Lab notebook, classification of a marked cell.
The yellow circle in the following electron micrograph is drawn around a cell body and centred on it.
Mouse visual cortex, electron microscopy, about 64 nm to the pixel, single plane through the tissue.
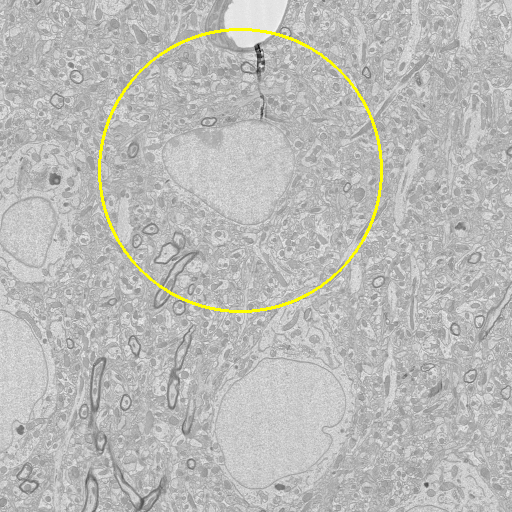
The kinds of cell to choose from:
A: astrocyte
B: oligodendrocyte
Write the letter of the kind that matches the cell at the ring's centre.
A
